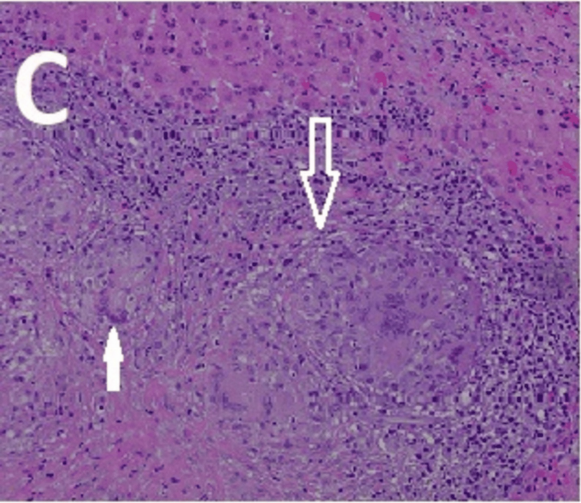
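This is liver tissue taken over by granulomas. Rounded nodules of pale pink, plump epithelioid cells with oval nuclei sit close together and merge into one another. Around them lies a dense cuff of small, darkly stained round cells. Within the nodules are large giant cells carrying many purple nuclei gathered together. There is no pale, structureless necrotic centre in the nodules. At the top of the field, liver cells with pink cytoplasm and round nuclei can still be seen, pushed aside by the granulomatous inflammation.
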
